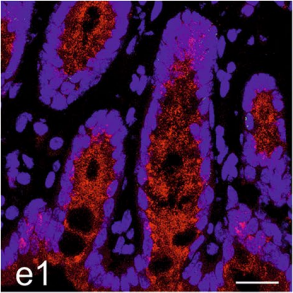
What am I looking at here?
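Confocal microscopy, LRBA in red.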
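Colonic crypts cut along and across, each lined by a single layer of epithelial cells around a small central lumen. Blue nuclei form an outer ring at the bases of the cells. Red granular staining occupies the inner portion of the cells between the nuclei and the crypt lumen, concentrating toward the lumen, with some brighter pink-red spots. The lumen itself appears dark. Between crypts lies tissue with scattered blue nuclei and little red staining.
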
